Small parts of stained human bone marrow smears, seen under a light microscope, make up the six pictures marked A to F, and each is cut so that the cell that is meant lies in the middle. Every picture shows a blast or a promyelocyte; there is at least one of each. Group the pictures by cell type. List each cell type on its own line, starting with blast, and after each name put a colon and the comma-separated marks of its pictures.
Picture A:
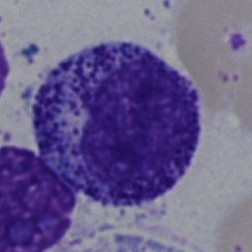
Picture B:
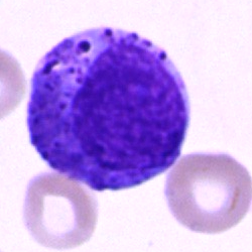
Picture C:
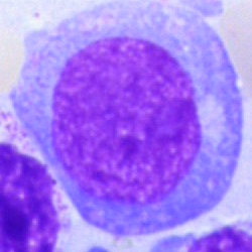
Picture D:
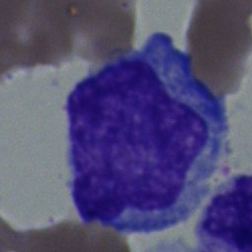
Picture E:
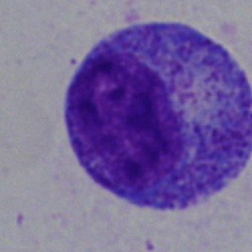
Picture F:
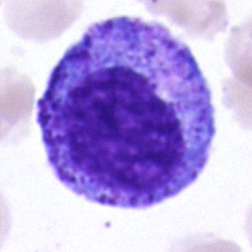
blast: C, D
promyelocyte: A, B, E, F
